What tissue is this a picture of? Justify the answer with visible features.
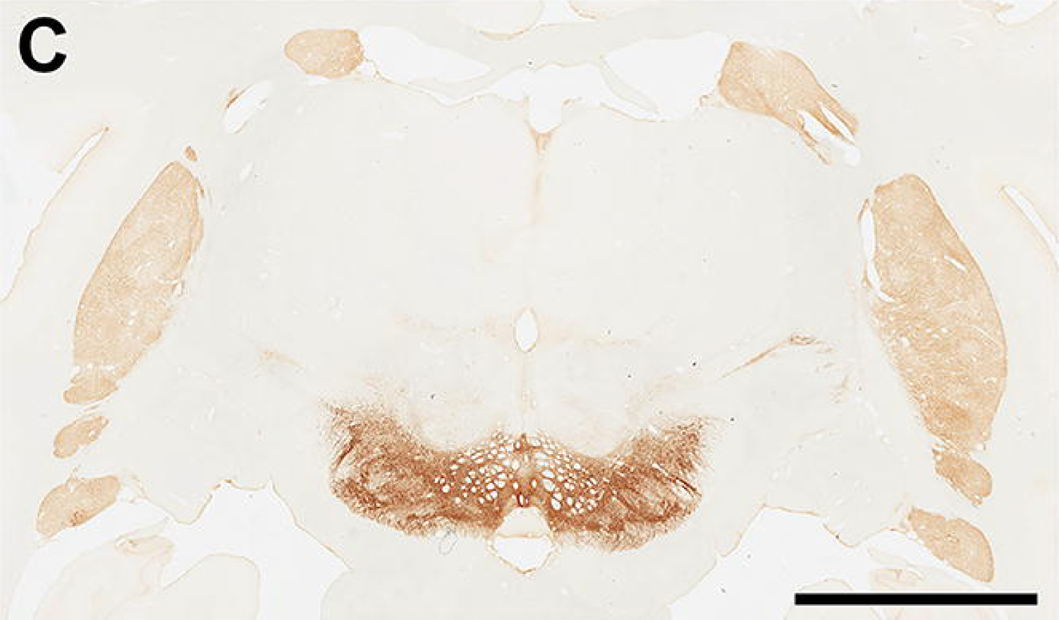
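A dense, dark brown, bilateral band of staining lies in the ventral midbrain near the midline. The band is pierced by many small pale holes of passing fibre bundles. The answer: substantia nigra.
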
